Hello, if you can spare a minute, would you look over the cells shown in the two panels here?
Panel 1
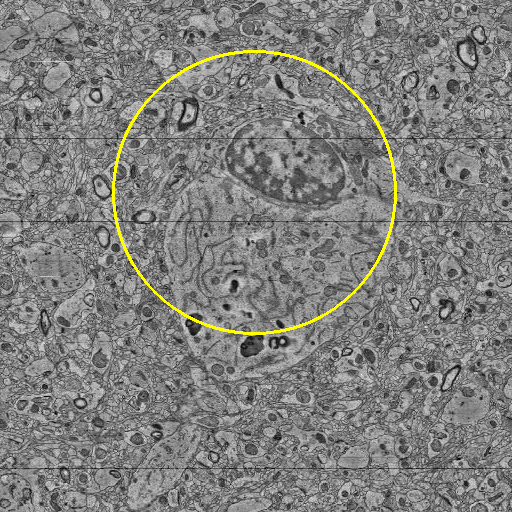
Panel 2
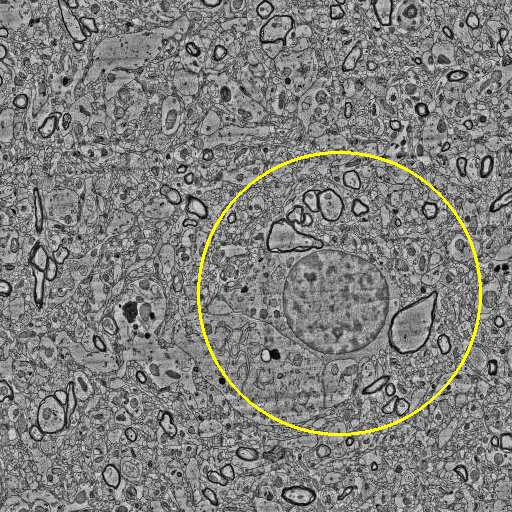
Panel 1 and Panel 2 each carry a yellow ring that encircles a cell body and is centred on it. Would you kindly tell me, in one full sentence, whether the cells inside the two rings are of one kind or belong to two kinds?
The cells at the centres of the rings in Panel 1 and Panel 2 belong to two kinds.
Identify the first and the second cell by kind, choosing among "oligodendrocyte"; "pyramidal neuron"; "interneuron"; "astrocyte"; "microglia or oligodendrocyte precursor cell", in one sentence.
The one in the first picture is a microglial cell or oligodendrocyte precursor cell, while the one in the second is an oligodendrocyte.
